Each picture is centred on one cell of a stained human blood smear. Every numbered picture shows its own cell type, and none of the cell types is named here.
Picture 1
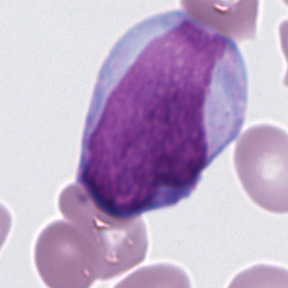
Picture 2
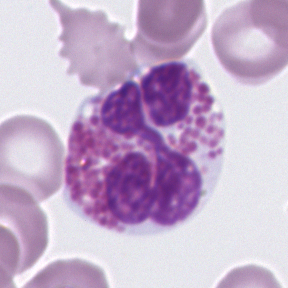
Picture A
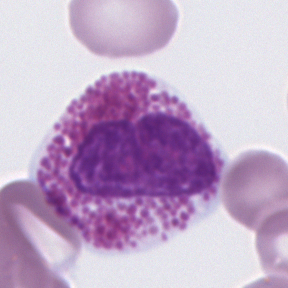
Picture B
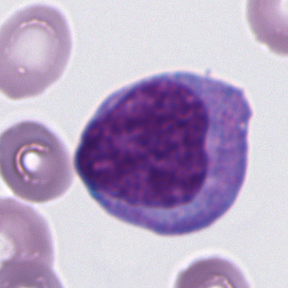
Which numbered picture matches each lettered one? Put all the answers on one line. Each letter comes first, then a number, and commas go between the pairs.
A 2, B 1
